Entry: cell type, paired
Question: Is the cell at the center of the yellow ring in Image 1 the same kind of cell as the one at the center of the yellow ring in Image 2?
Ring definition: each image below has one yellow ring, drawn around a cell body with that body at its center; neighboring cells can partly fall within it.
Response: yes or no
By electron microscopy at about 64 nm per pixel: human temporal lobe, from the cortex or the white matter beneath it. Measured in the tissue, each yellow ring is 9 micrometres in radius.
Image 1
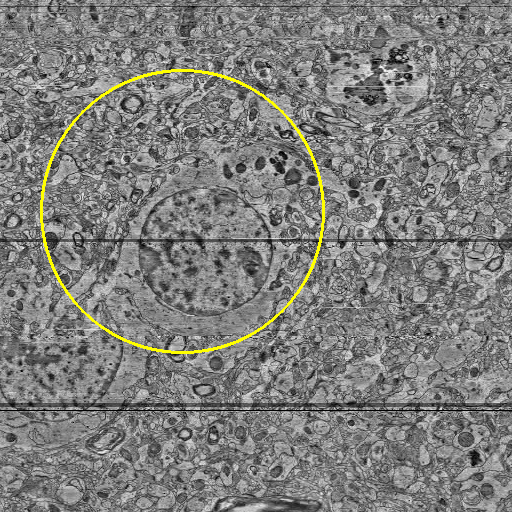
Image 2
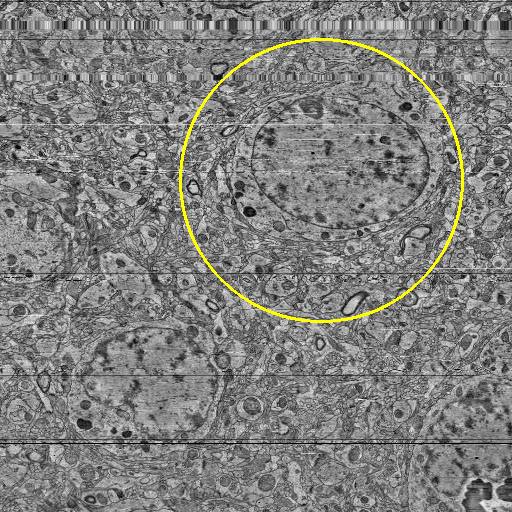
no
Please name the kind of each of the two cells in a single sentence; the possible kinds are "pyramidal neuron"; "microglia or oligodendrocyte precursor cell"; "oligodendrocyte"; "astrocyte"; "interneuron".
In the first picture the ring is centred on an astrocyte, and in the second on a pyramidal neuron.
